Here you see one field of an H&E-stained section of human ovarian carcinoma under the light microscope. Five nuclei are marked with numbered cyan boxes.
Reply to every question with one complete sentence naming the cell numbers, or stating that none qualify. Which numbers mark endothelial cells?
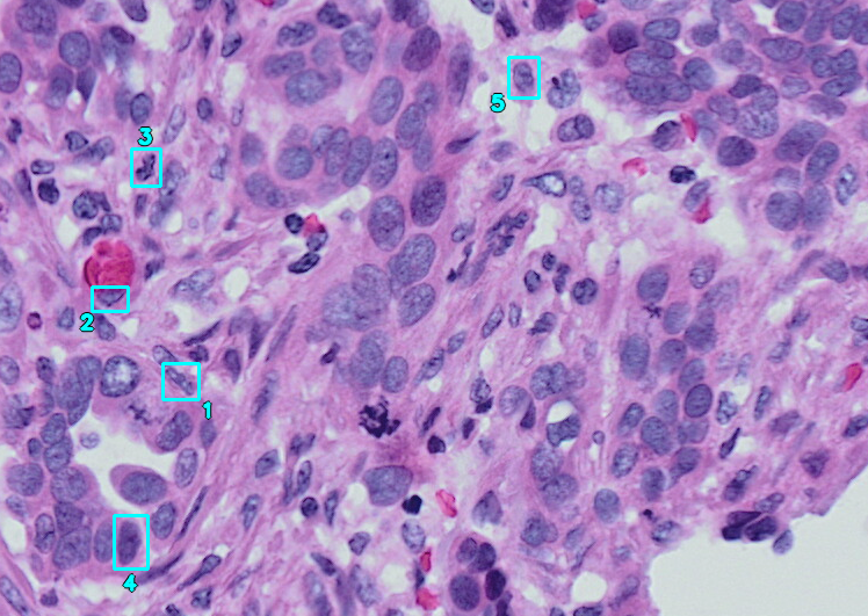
Cell 2 is an endothelial cell, and it is the only numbered cell that is.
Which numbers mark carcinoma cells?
Cell 4 is a carcinoma cell, whereas each of the other numbered cells is not.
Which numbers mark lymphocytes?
Whereas cell 3 is a lymphocyte, the other numbered cells are not.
